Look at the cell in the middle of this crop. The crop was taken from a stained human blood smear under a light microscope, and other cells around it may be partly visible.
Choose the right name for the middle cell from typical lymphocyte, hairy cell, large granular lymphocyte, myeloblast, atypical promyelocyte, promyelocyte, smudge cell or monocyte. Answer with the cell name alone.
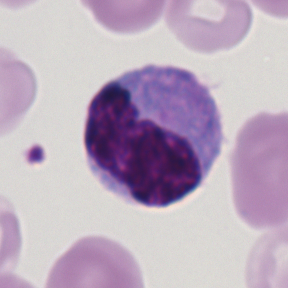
monocyte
